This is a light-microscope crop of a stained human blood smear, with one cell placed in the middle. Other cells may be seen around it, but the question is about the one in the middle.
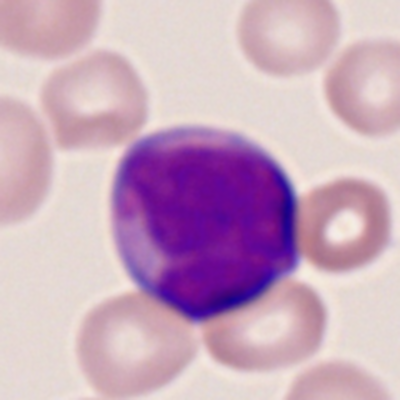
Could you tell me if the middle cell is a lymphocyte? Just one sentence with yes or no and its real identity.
No, this one is a myeloblast; it is not a lymphocyte.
